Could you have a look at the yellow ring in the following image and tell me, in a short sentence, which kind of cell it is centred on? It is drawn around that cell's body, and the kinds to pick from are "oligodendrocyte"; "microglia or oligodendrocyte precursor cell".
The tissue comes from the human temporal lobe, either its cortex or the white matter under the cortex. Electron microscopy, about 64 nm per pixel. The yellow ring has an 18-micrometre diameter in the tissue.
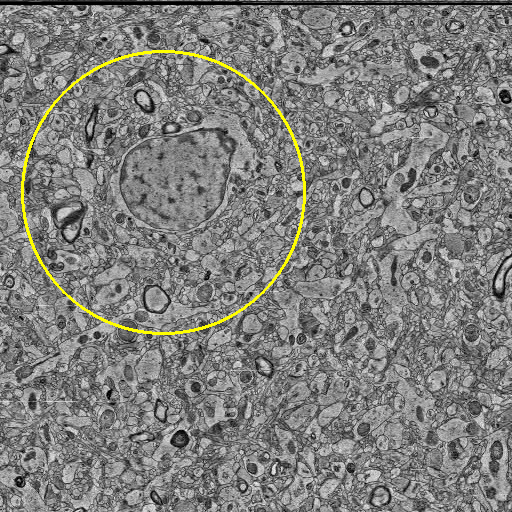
The ring is centred on the body of a microglial cell or oligodendrocyte precursor cell.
